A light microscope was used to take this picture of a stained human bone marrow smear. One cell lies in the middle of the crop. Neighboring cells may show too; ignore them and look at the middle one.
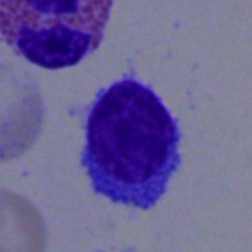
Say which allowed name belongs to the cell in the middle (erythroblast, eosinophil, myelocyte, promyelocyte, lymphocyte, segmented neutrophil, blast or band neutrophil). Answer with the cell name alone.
lymphocyte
